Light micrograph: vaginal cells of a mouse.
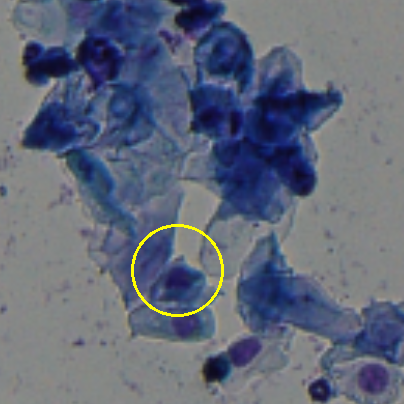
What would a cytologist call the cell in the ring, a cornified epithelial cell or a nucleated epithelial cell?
A cytologist would call it a nucleated epithelial cell.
